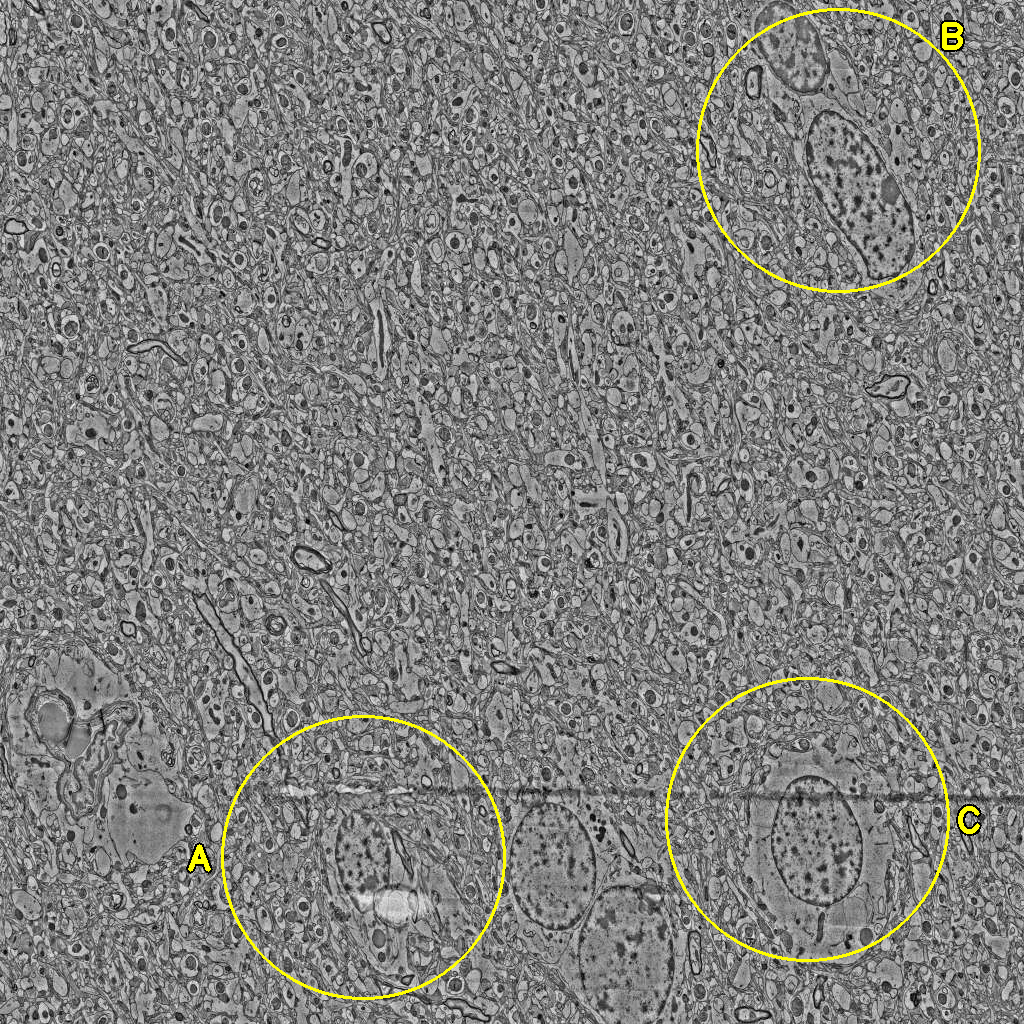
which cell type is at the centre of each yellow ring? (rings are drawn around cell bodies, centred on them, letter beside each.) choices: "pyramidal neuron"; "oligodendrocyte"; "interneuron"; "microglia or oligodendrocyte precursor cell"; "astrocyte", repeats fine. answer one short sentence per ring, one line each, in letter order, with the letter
Ring A is an astrocyte.
Ring B is a microglial cell or oligodendrocyte precursor cell.
Ring C is an astrocyte.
